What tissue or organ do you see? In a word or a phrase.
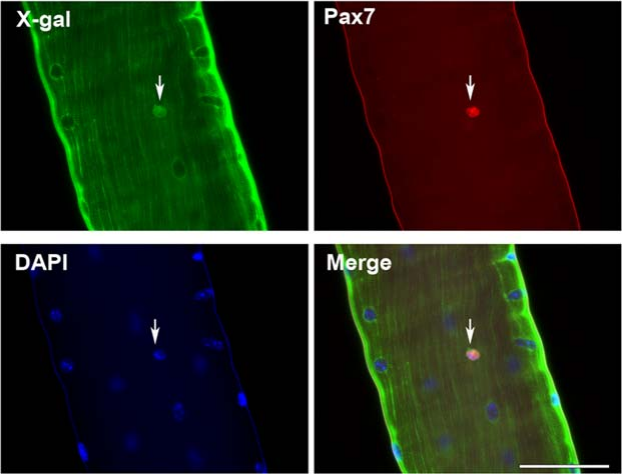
myofibres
